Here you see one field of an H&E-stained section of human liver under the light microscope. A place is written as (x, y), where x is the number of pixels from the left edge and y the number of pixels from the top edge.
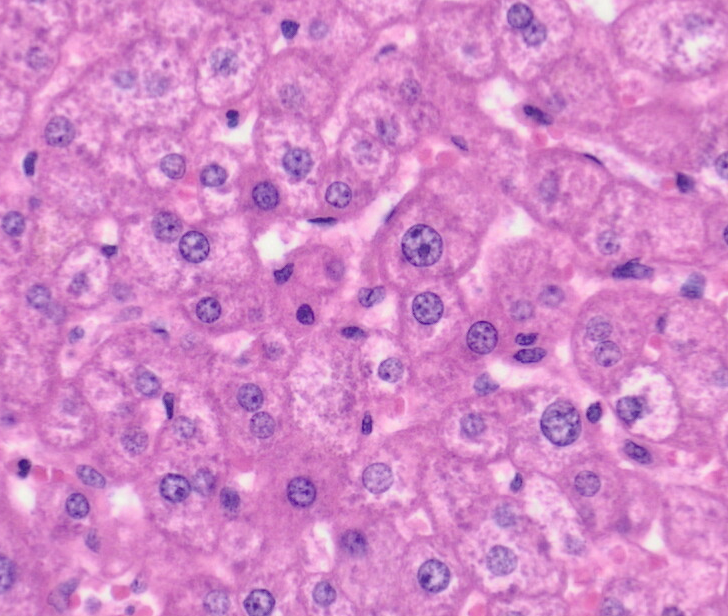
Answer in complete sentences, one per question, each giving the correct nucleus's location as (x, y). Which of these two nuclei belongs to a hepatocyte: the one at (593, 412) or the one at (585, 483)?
The nucleus at position (585, 483) belongs to a hepatocyte.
